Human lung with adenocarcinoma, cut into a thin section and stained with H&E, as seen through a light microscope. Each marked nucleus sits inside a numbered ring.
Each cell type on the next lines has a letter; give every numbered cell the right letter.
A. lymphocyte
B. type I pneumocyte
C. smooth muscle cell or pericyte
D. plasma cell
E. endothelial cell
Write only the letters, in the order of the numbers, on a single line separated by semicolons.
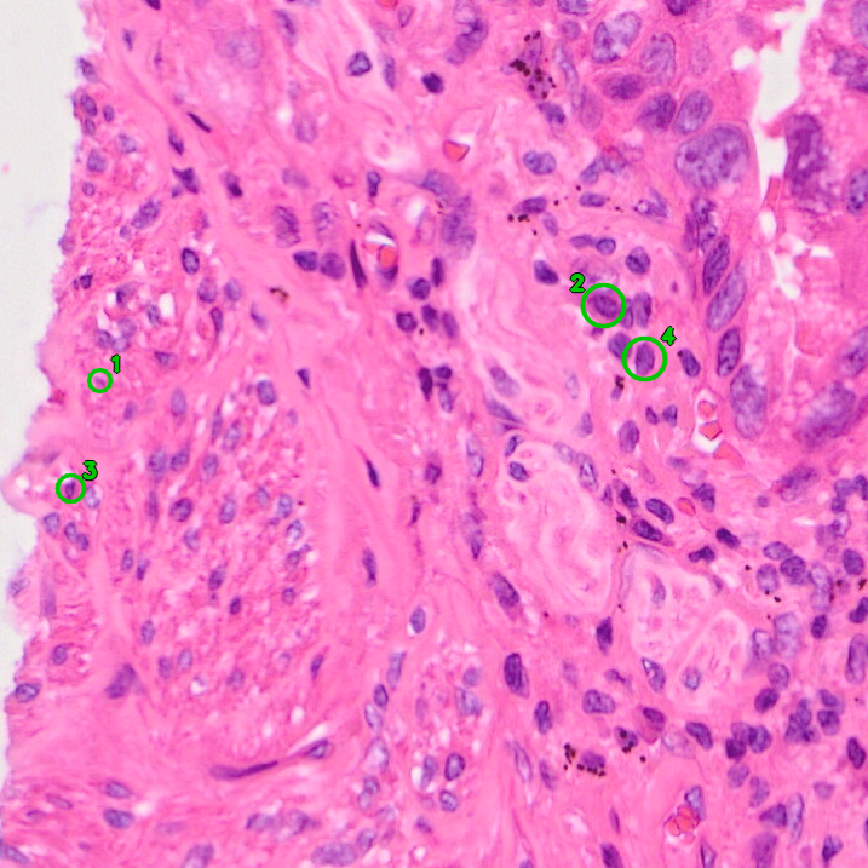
C; D; C; A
